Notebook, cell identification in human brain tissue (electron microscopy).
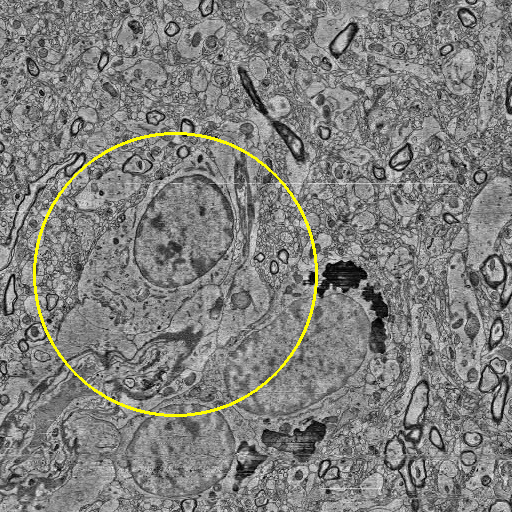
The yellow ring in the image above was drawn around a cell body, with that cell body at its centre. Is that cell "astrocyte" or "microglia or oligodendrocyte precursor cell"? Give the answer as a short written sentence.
The cell in the ring is a microglial cell or oligodendrocyte precursor cell.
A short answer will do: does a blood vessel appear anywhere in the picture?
Yes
